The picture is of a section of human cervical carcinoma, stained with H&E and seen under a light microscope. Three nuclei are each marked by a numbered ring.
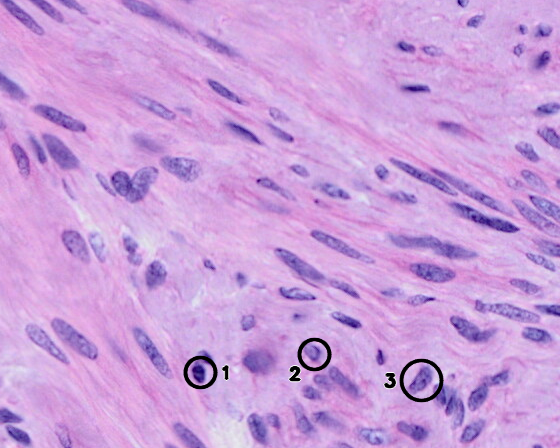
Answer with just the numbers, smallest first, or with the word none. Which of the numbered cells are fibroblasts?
3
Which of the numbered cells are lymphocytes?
1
